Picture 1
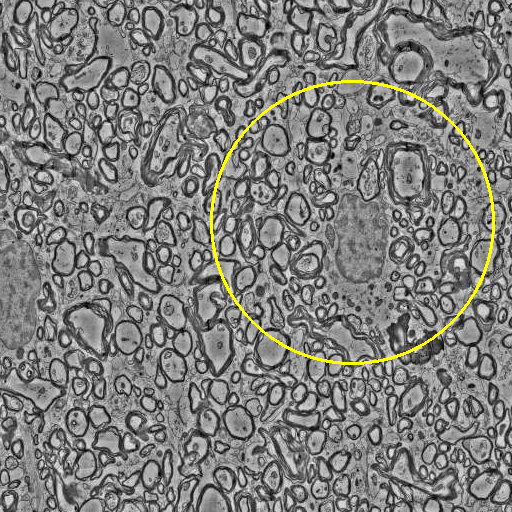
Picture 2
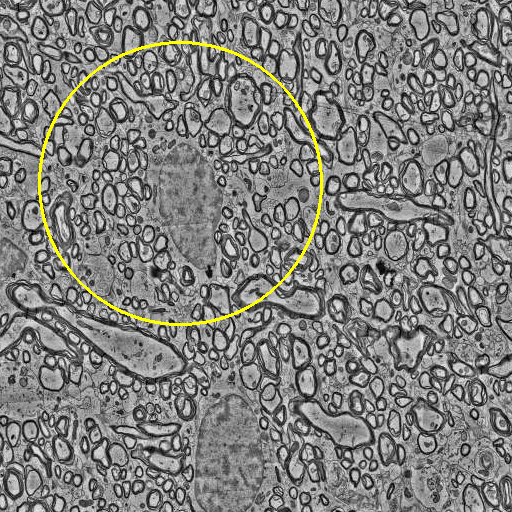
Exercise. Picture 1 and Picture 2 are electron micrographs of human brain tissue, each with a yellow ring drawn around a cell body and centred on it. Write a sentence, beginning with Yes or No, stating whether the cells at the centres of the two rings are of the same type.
Yes, the cells at the centres of both rings are of the same type.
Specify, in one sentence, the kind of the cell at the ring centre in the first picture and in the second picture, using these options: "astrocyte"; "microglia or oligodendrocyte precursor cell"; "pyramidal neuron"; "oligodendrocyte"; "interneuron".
Each one of the two ringed cells is an oligodendrocyte.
